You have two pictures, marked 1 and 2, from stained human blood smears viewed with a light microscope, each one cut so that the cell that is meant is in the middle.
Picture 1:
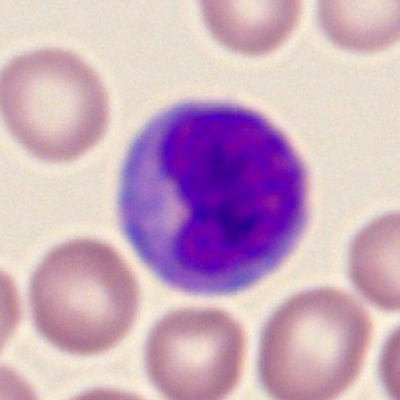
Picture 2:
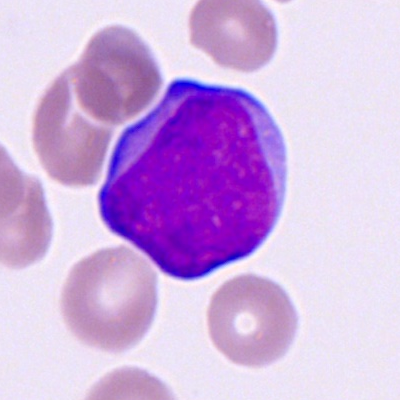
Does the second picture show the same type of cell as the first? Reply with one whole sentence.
No, they differ: the cell is a monocyte in picture 1 and a myeloblast in picture 2.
